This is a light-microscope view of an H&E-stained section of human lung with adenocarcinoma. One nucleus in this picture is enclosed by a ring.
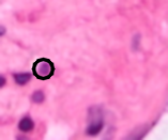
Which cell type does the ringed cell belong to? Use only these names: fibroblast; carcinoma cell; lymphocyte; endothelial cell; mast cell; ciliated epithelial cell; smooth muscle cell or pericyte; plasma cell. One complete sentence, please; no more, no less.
It is as a smooth muscle cell or pericyte that the ringed cell is recorded.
